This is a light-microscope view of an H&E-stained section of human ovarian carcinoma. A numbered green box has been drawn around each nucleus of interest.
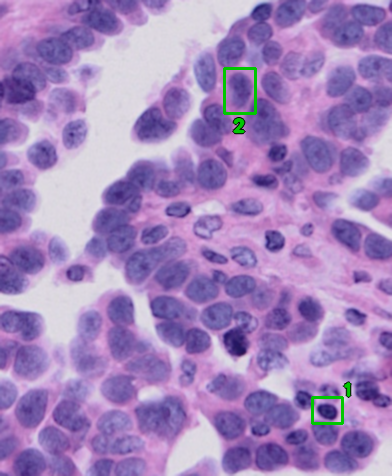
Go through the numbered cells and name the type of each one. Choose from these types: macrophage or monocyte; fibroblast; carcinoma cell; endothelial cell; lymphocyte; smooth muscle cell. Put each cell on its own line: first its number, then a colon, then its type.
1: lymphocyte
2: carcinoma cell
